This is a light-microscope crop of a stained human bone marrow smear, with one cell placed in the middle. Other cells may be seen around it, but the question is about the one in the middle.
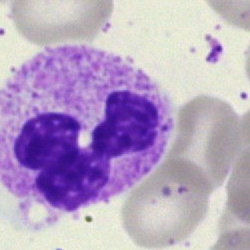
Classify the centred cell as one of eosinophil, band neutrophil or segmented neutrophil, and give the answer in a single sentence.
At the middle of the frame sits a segmented neutrophil.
